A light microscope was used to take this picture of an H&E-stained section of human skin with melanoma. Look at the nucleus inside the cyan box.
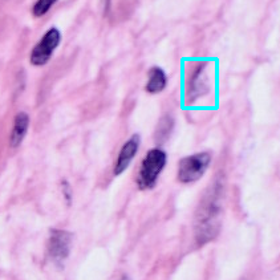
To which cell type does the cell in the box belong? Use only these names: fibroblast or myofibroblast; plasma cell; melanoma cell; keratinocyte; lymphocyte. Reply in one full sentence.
The cell in the box appears to be a fibroblast or myofibroblast.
